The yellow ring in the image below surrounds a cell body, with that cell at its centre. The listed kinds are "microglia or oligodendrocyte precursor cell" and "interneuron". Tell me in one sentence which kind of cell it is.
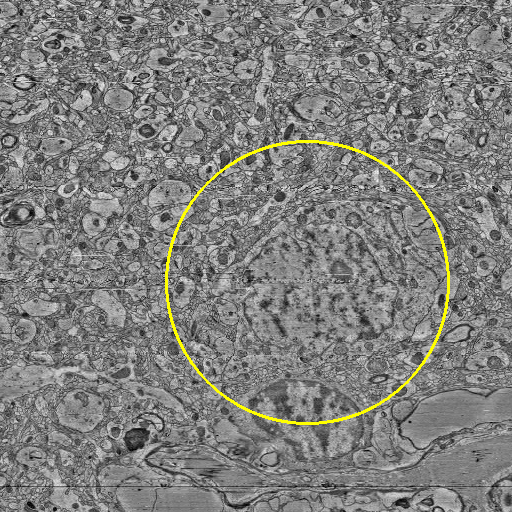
The centre of the ring holds an interneuron.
